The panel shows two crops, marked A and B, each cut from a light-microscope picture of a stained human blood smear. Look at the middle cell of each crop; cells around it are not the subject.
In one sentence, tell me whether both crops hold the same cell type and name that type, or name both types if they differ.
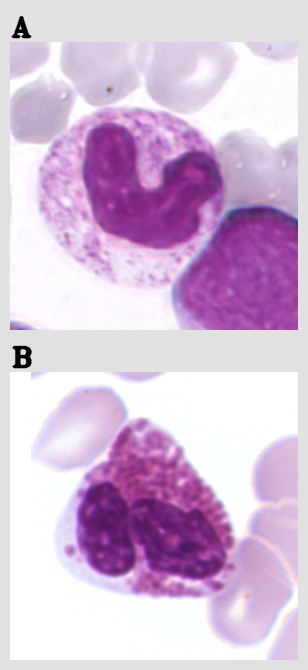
No, what crop A shows is a band neutrophil, and what crop B shows is an eosinophil.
